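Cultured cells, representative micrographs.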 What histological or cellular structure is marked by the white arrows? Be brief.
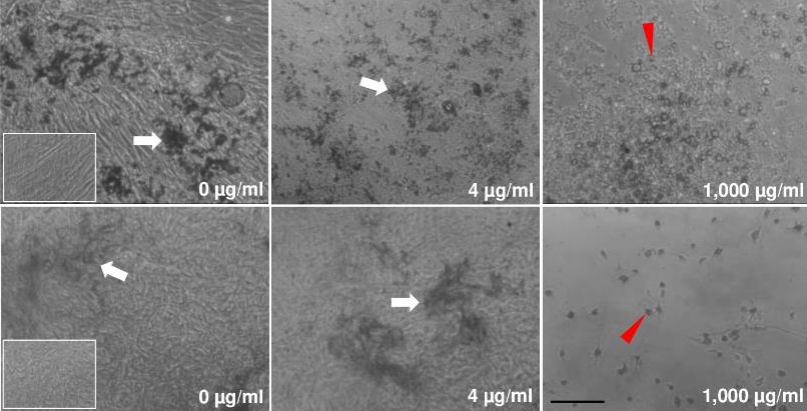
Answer: Nodule formation.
